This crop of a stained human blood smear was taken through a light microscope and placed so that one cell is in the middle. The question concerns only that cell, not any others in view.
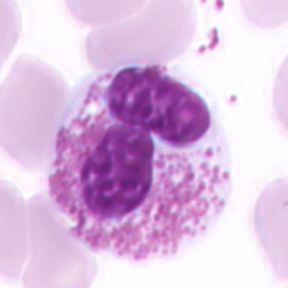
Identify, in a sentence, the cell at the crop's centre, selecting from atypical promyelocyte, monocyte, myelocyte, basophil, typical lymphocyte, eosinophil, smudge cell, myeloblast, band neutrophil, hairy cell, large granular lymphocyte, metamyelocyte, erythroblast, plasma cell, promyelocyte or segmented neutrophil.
Framed in the middle of the crop is an eosinophil.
